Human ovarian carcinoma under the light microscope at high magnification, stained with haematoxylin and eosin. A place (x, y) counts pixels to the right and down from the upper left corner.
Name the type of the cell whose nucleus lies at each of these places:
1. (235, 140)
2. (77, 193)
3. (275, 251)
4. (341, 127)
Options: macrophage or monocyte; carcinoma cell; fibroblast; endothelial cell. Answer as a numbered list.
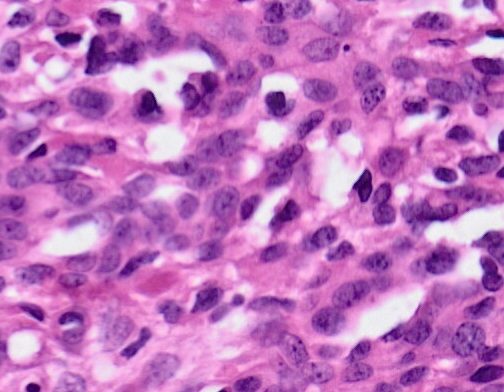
1. carcinoma cell
2. carcinoma cell
3. carcinoma cell
4. macrophage or monocyte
